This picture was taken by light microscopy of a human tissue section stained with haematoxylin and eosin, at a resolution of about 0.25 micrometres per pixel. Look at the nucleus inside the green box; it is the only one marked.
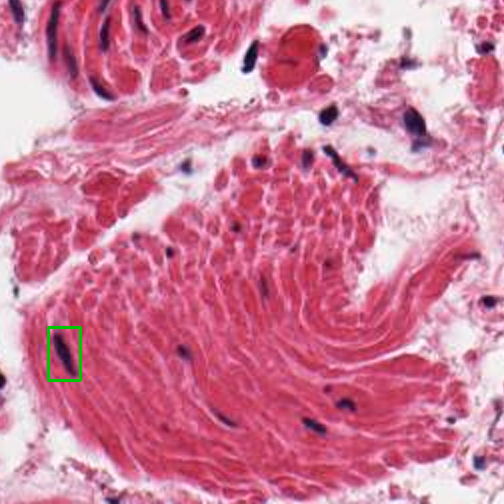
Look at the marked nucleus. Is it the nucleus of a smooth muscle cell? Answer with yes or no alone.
yes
